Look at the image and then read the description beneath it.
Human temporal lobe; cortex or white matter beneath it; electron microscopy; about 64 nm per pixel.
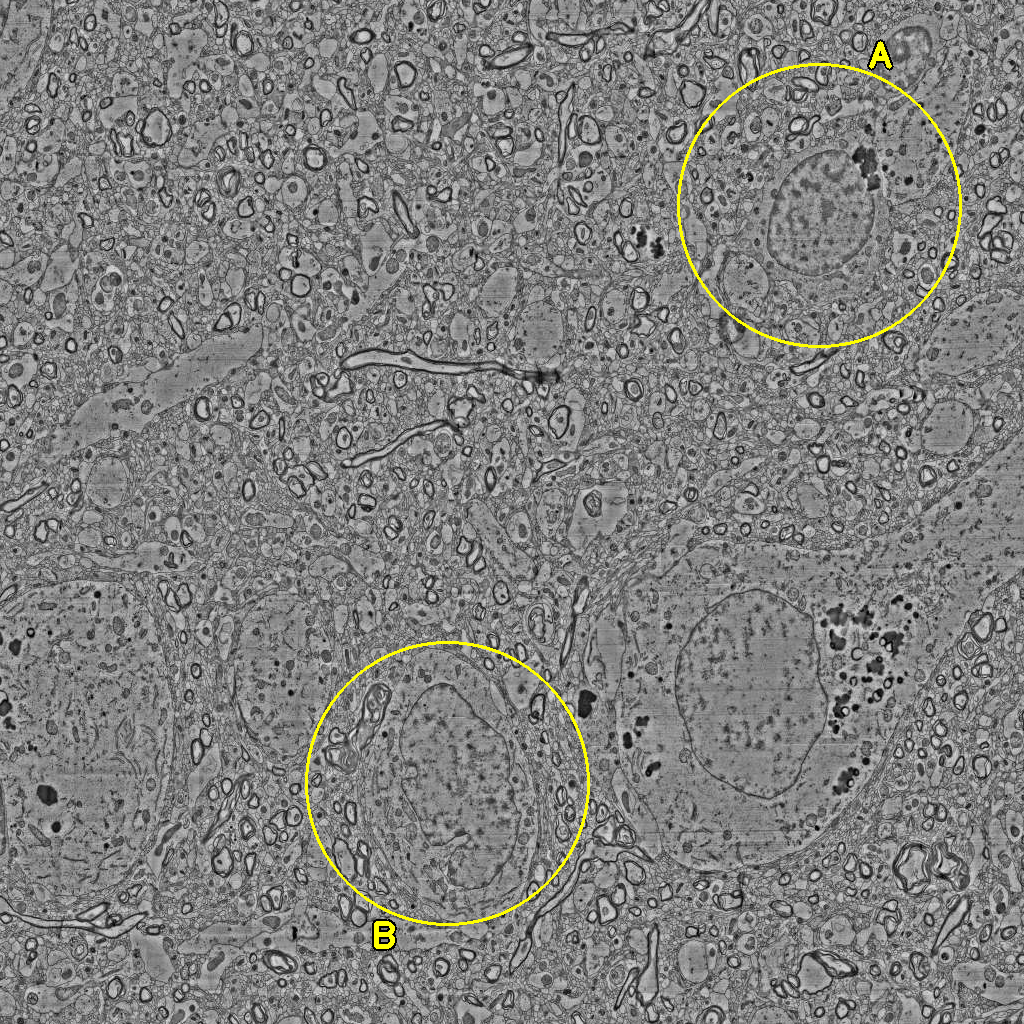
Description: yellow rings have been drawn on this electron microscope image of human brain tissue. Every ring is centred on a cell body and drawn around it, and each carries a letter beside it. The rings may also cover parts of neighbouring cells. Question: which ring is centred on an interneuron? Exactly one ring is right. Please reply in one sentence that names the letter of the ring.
It is ring B.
